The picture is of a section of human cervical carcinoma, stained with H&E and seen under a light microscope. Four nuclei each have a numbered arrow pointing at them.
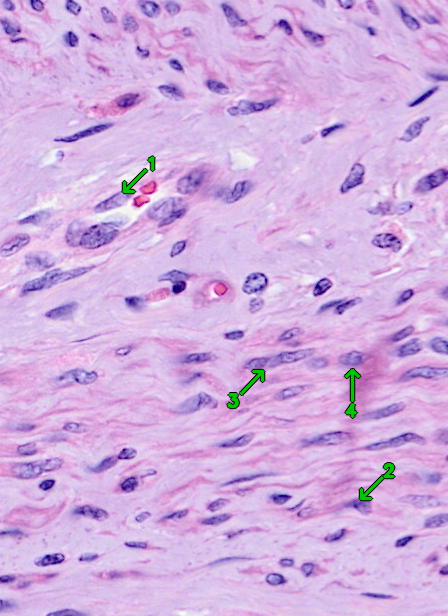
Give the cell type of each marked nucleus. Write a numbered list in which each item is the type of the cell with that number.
1. endothelial cell
2. smooth muscle cell
3. smooth muscle cell
4. smooth muscle cell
